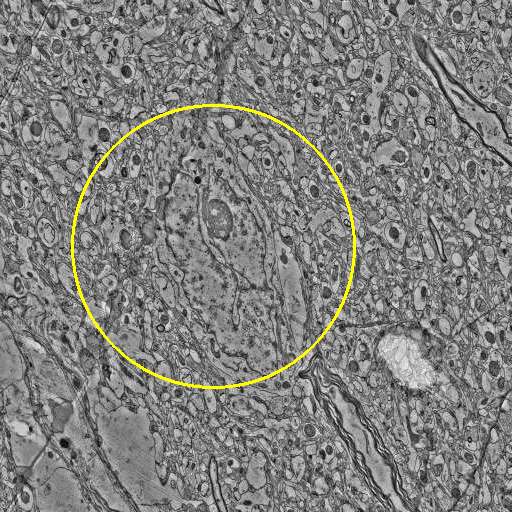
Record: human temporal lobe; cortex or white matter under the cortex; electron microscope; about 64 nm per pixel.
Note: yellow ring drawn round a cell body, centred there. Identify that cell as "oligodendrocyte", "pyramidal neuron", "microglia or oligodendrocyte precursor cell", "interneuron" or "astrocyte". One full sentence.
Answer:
The cell in the middle of the ring is an interneuron.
